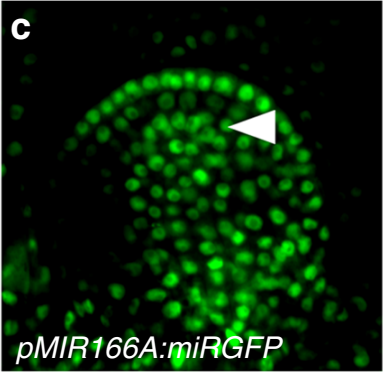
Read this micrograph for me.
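This longitudinal section shows the dome of a shoot apical meristem with fluorescent nuclei in green. The outermost layer forms a single, regular row of evenly spaced nuclei following the curve of the dome. Beneath it a second layer of nuclei runs parallel to the surface at the summit. Deeper in the dome the nuclei are more irregularly arranged and fill the core of the meristem and the tissue below. Nuclei are small and round to oval, giving a dotted appearance throughout the section.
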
